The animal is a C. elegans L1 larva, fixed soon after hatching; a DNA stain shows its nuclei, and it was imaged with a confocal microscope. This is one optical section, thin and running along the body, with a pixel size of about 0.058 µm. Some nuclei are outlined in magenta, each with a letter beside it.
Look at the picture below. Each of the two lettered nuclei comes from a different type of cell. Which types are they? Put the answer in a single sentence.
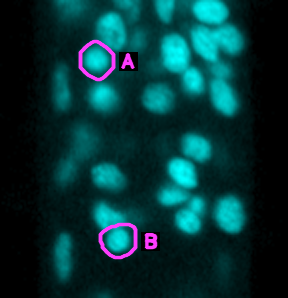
A belongs to a neuron and B to a valve cell of the gut.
